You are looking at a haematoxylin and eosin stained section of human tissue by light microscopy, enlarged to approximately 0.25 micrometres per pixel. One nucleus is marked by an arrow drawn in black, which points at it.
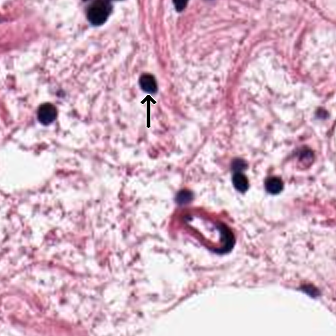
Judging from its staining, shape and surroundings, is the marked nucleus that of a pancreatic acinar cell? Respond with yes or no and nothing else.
no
